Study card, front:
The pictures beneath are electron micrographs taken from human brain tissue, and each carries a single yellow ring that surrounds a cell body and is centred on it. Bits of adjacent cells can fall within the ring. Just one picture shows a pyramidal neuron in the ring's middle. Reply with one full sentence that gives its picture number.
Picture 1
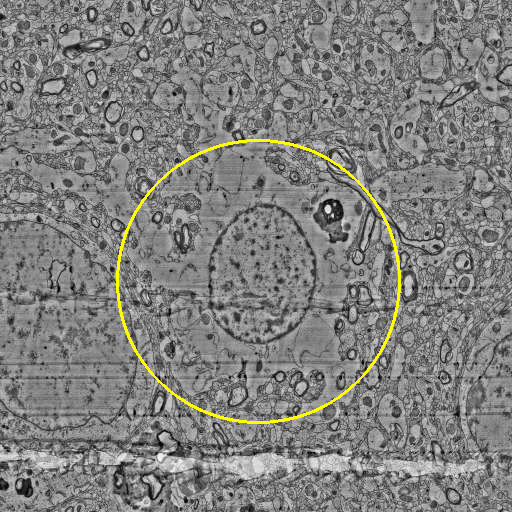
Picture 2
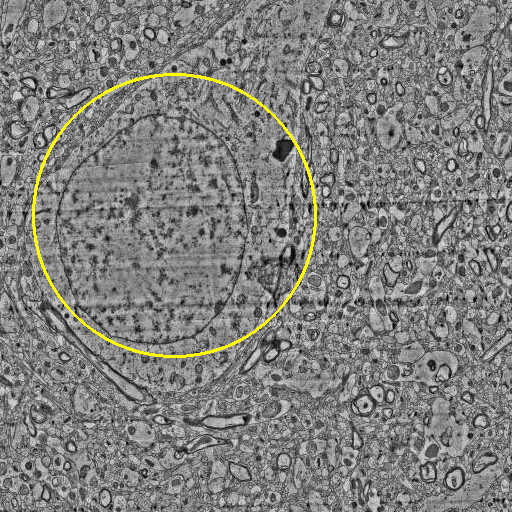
Picture 2 is the one whose ring has the requested cell at its centre.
